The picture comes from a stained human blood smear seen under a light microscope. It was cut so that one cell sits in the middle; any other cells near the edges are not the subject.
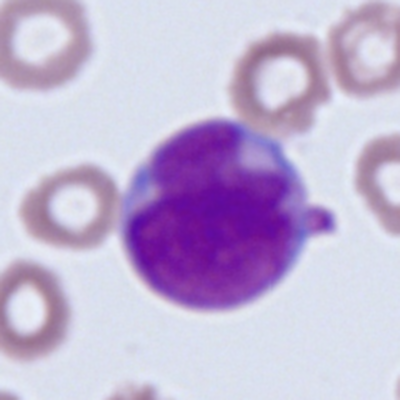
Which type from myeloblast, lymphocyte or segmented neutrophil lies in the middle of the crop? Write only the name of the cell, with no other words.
myeloblast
